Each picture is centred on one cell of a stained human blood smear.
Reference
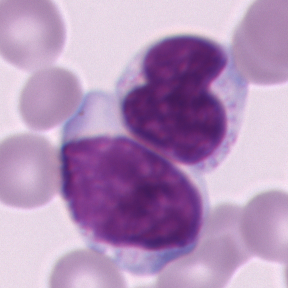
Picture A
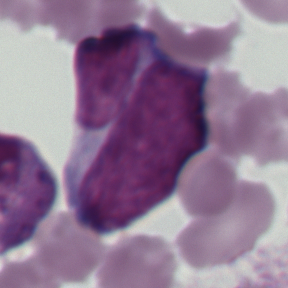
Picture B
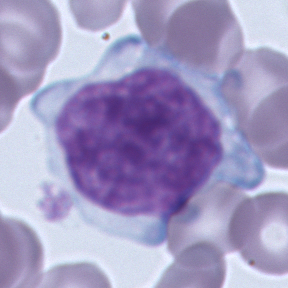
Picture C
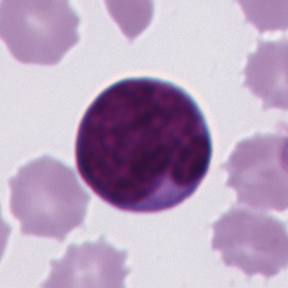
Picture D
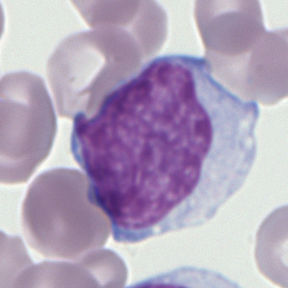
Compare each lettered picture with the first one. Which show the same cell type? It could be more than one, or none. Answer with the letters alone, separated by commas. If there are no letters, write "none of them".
none of them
